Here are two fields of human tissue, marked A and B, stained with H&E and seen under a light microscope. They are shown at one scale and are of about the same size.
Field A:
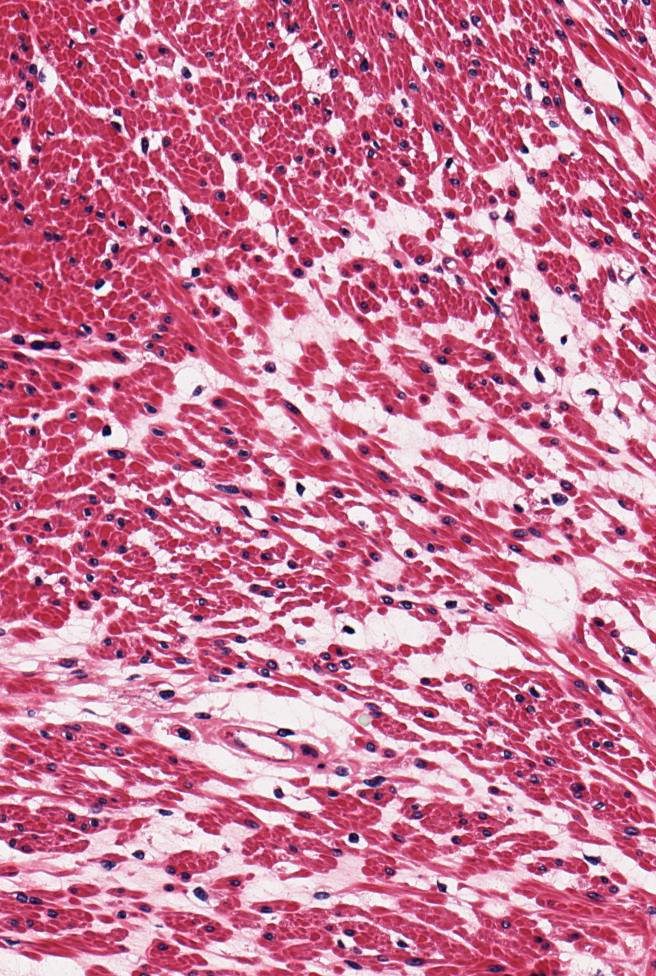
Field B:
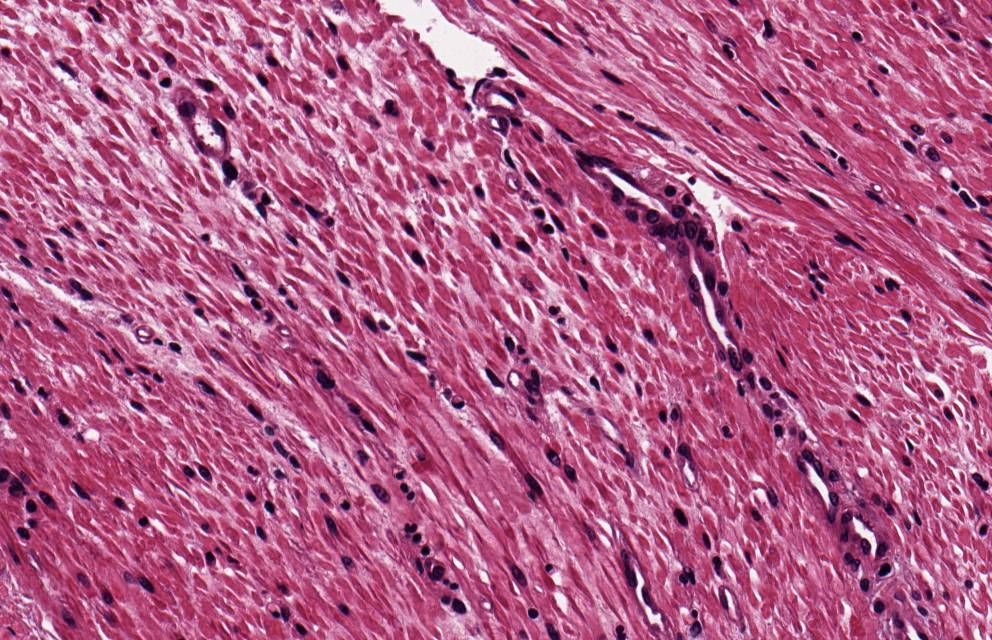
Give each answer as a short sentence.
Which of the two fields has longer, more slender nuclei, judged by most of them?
On the whole the nuclei of field B are more drawn out than those of field A.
